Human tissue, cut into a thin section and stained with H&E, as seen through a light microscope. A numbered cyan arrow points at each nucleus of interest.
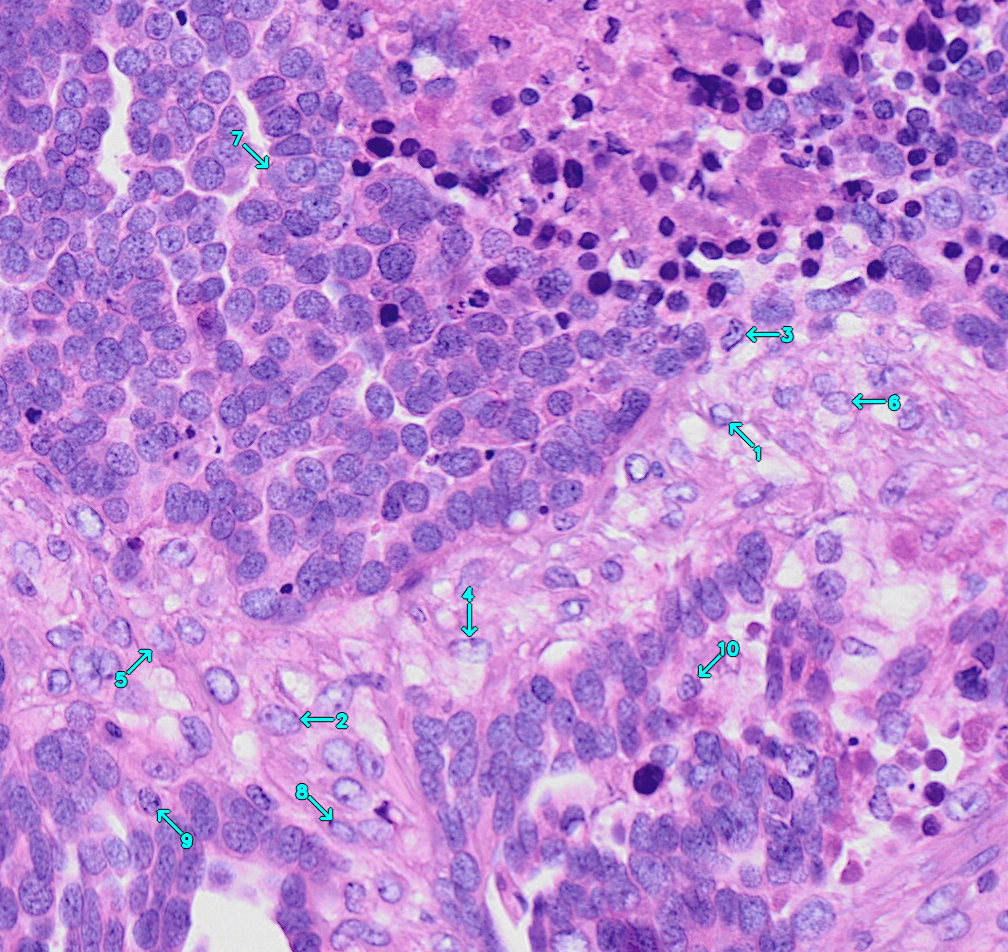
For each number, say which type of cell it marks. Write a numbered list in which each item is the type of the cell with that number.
1. fibroblast
2. fibroblast
3. macrophage or monocyte
4. fibroblast
5. fibroblast
6. fibroblast
7. carcinoma cell
8. fibroblast
9. macrophage or monocyte
10. macrophage or monocyte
